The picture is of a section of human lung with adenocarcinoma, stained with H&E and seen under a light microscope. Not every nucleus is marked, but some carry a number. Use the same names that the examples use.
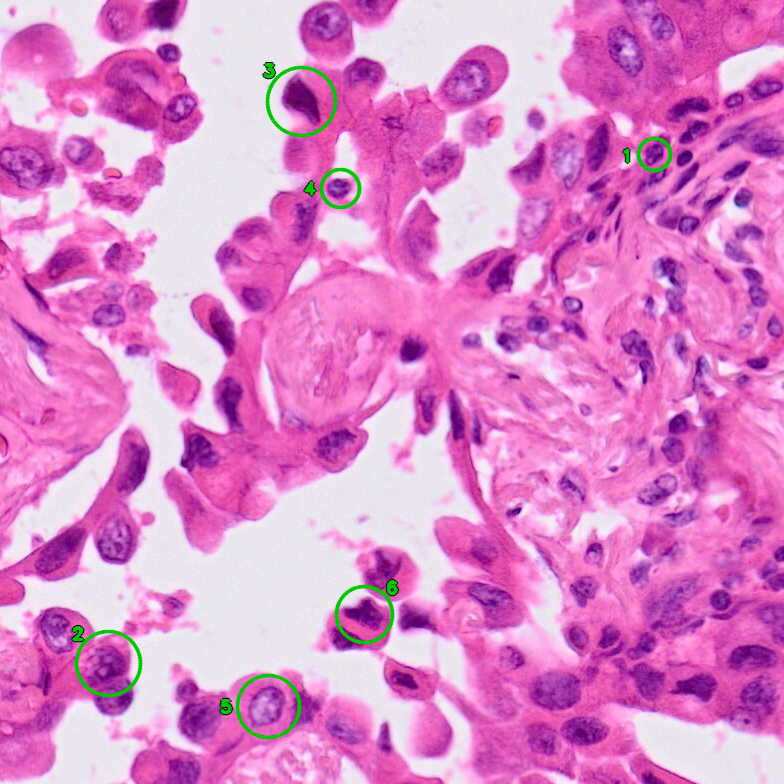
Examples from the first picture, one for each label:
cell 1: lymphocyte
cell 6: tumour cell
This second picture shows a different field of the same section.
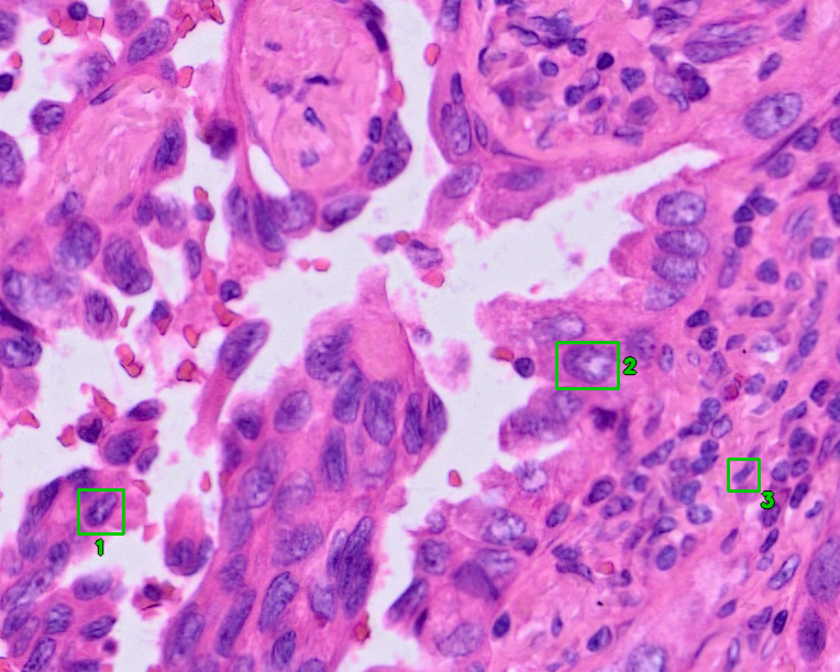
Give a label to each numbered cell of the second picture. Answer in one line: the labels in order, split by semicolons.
tumour cell; tumour cell; lymphocyte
